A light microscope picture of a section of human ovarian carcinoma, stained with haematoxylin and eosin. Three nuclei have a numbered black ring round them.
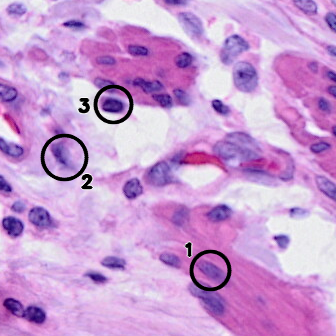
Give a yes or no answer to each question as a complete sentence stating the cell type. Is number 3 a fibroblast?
No, cell 3 is a lymphocyte; it is not a fibroblast.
